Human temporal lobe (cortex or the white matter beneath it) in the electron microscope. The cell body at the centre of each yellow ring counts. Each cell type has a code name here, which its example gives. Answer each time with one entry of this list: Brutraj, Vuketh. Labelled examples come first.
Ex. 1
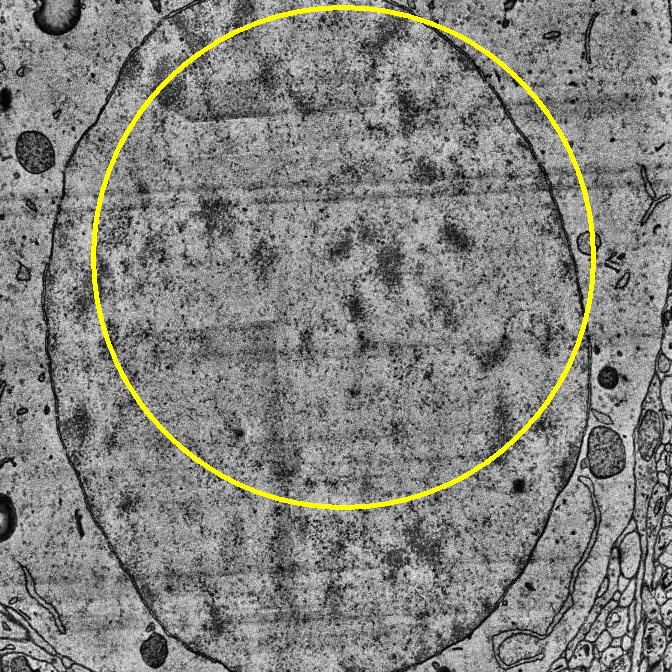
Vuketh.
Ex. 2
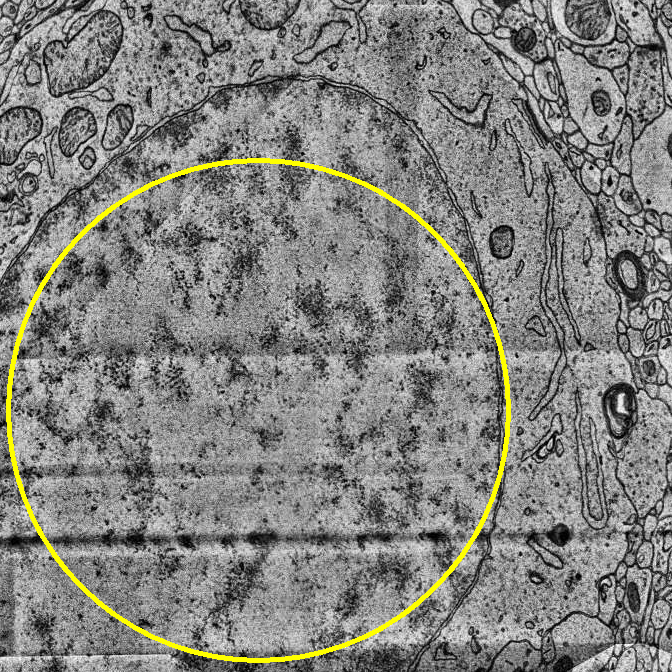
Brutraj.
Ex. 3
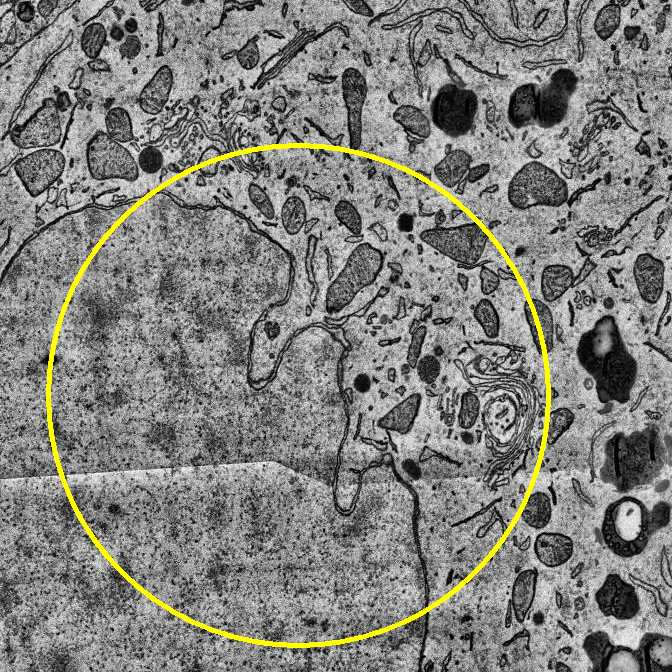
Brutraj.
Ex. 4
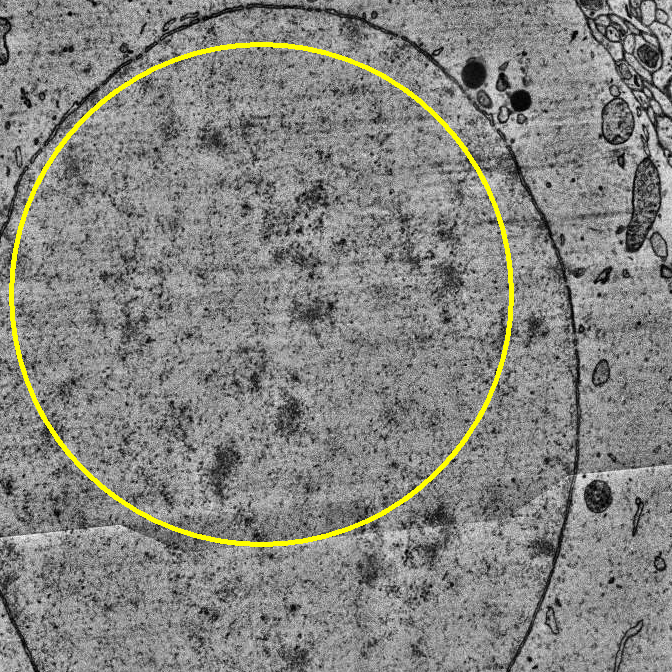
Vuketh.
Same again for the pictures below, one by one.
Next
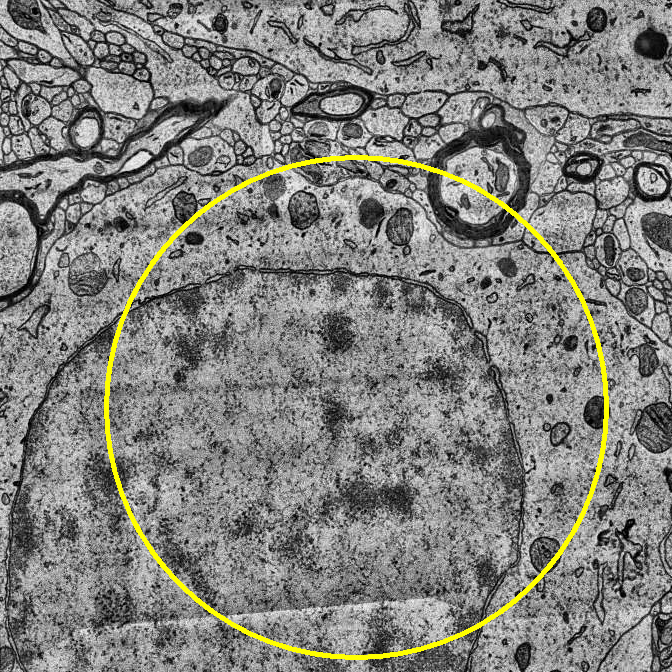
Brutraj.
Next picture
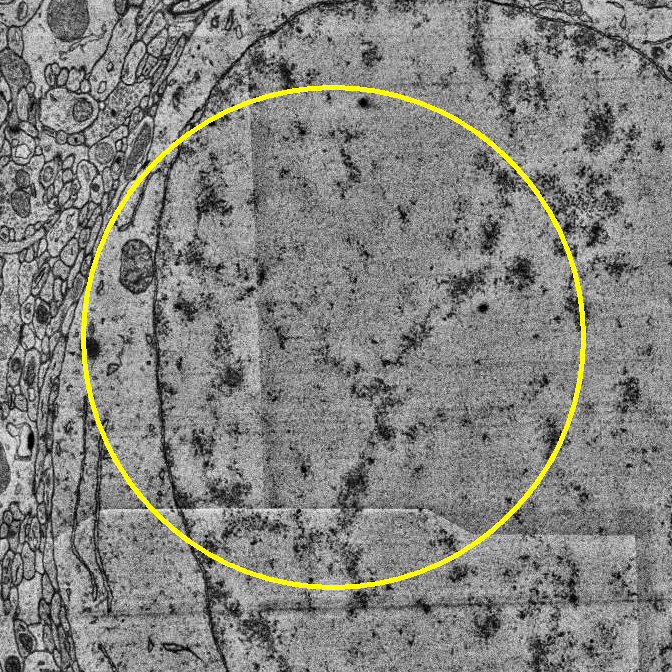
Vuketh.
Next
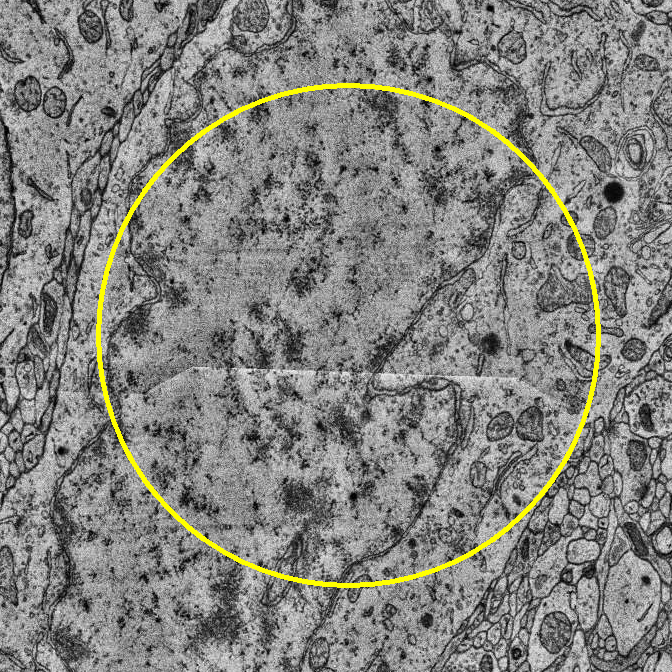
Brutraj.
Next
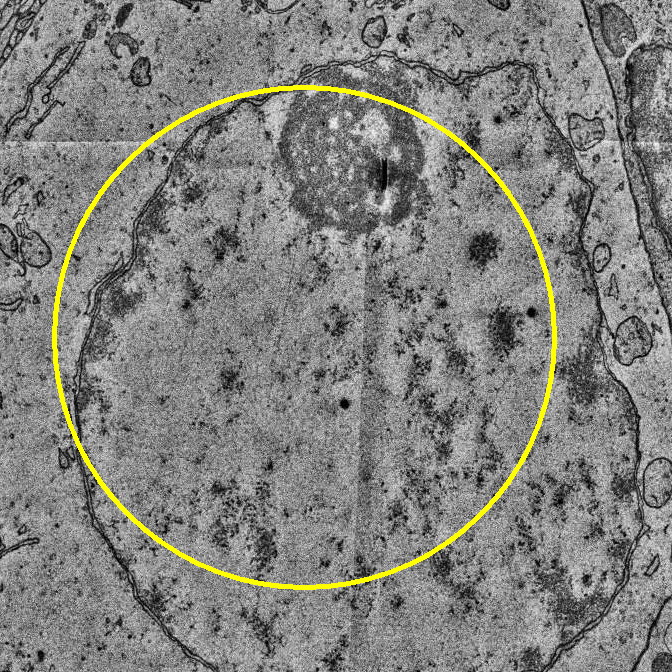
Brutraj.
